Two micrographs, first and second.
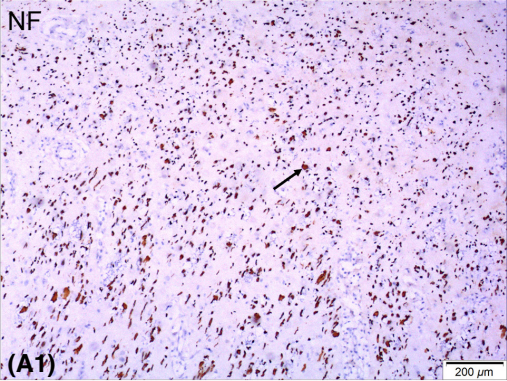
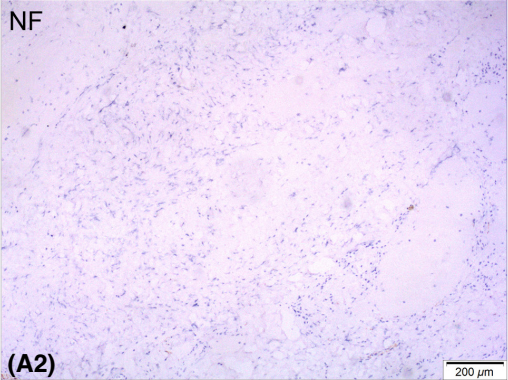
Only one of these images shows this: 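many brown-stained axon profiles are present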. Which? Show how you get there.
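Second image: pale loose tissue with blue nuclei and almost no brown staining. First image: numerous dark brown elongated and dot-like profiles throughout the tissue.
Hence: the first image.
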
